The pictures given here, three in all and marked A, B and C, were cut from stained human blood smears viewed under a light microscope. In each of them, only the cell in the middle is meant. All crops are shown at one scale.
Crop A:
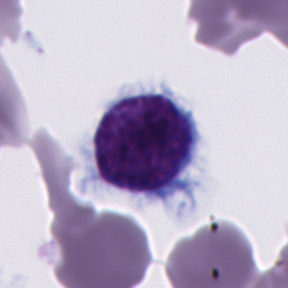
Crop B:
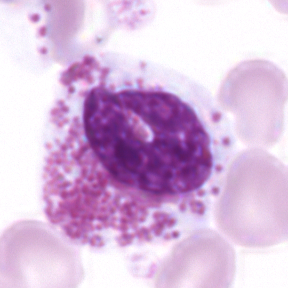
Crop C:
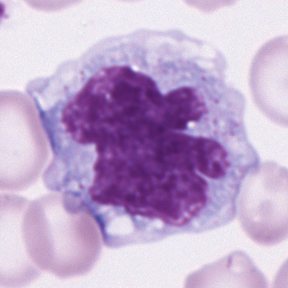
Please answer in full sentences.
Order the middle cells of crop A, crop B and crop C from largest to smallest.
From the largest down, the order is C, B, A.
